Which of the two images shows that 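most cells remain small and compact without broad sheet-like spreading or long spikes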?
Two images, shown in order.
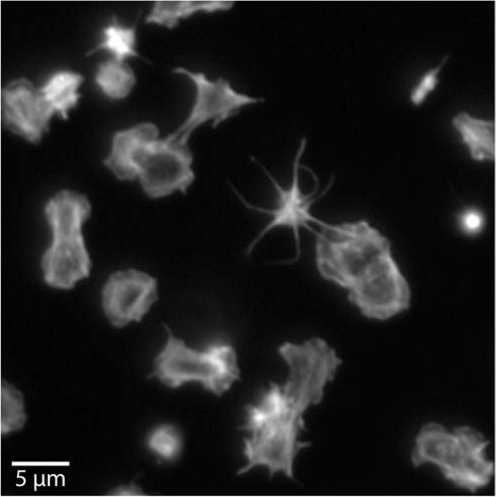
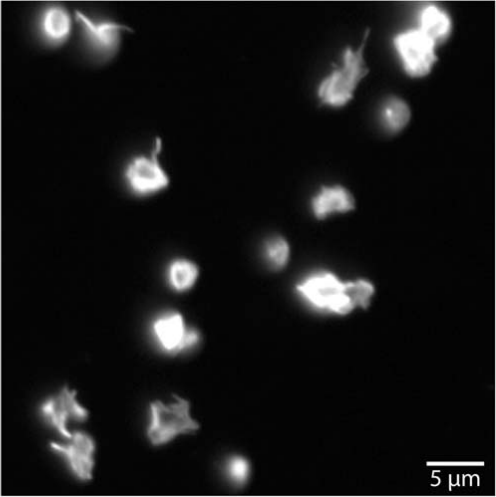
The second image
